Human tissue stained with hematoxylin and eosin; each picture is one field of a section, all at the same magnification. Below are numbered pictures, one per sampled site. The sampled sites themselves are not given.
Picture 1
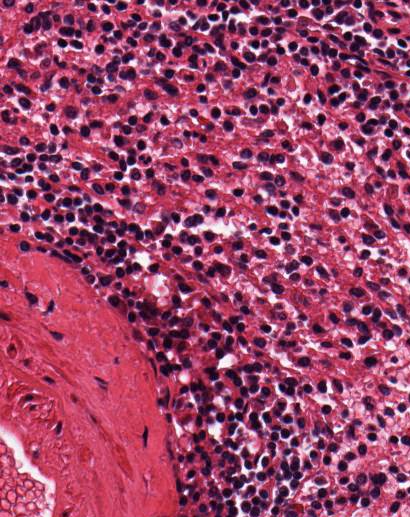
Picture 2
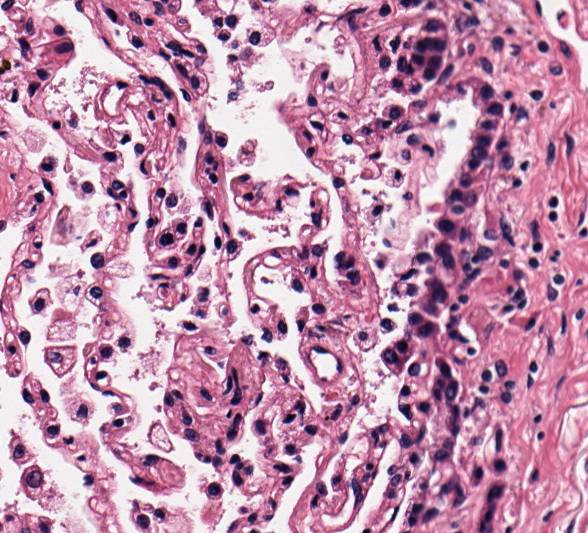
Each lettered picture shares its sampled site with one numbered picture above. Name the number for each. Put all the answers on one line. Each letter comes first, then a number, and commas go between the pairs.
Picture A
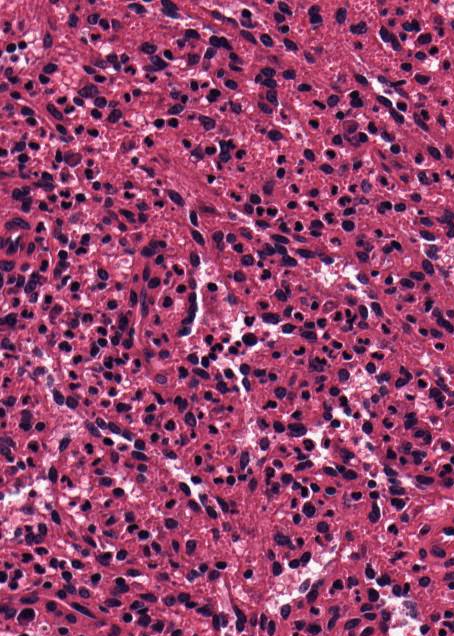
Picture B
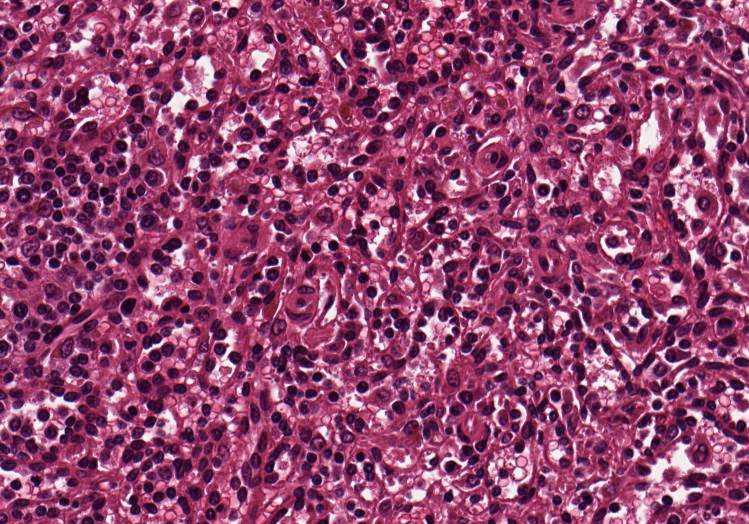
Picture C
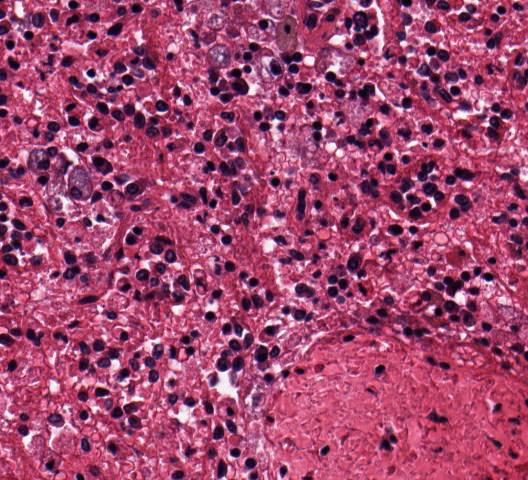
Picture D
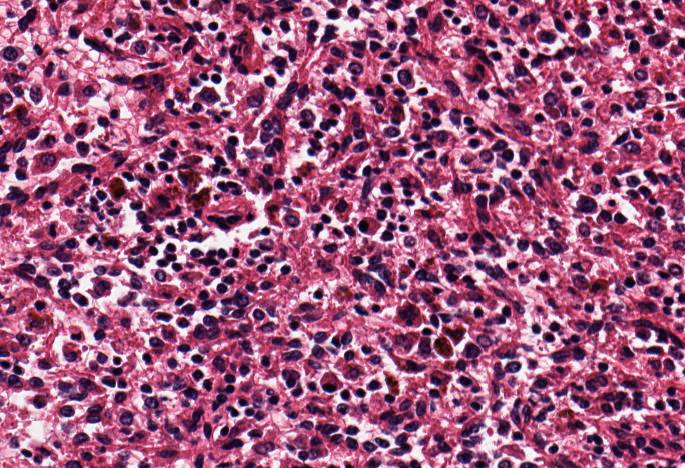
A 1, B 1, C 1, D 1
